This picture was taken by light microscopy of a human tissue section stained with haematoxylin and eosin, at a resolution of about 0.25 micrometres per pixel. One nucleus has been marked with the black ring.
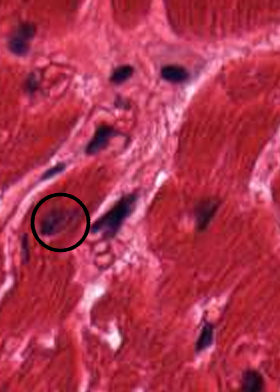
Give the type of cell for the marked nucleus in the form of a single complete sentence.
The mark identifies the nucleus of a cardiomyocyte.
